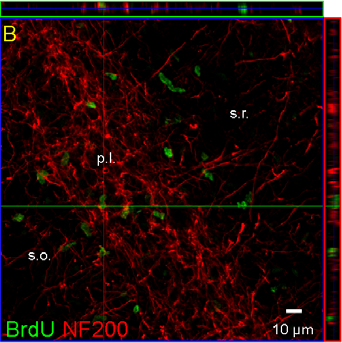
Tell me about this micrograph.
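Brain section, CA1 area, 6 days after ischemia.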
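A dense tangle of thin red fibres, wavy and branching, runs in many directions and is thickest in a central band, thinning towards the upper right. Among the fibres lie many small green nuclei, oval to irregular, scattered singly through the field, several within the densest part of the fibre network and others towards its edges. No green nucleus forms a regular row.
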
